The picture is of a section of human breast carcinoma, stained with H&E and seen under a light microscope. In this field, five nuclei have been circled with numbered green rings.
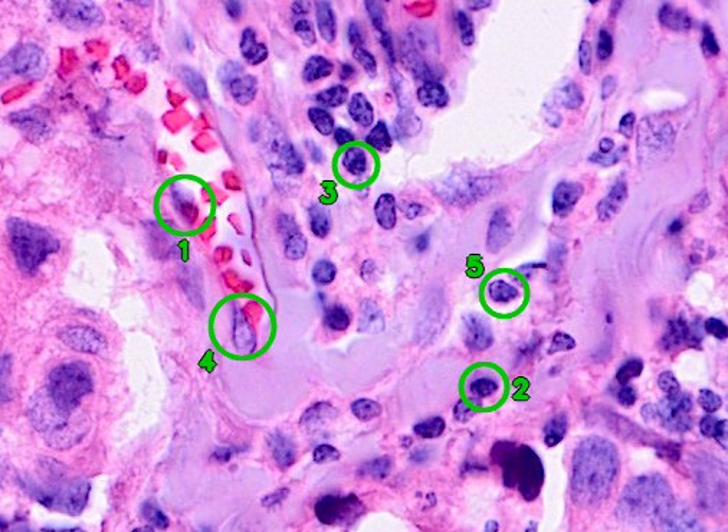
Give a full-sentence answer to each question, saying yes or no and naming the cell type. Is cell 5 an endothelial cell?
No, number 5 is not an endothelial cell but a lymphocyte.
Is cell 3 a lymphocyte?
Yes, kindly take note: the cell numbered 3 is a lymphocyte.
